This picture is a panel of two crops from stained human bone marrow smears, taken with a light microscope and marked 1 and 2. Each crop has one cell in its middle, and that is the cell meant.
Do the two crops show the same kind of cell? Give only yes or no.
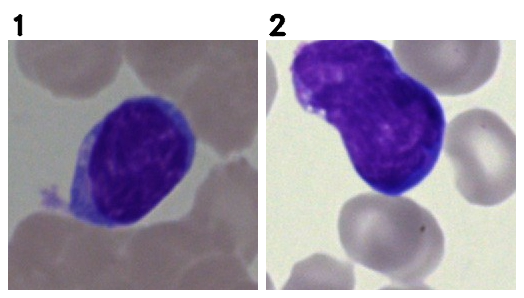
no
